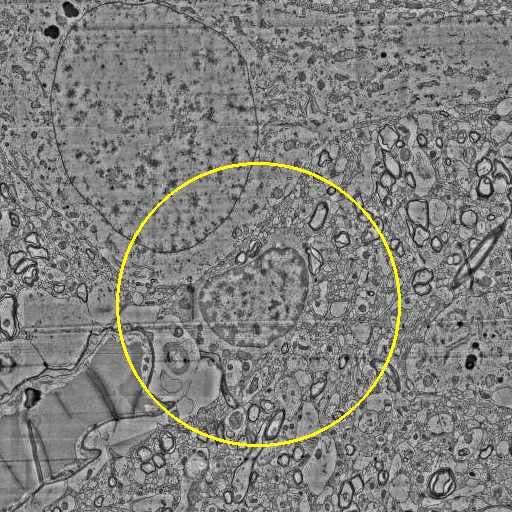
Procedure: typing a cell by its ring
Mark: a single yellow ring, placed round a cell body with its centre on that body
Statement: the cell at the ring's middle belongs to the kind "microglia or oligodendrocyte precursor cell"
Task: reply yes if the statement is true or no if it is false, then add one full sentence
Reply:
No, this is false: the cell at the ring's centre in the picture belongs to some other kind.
